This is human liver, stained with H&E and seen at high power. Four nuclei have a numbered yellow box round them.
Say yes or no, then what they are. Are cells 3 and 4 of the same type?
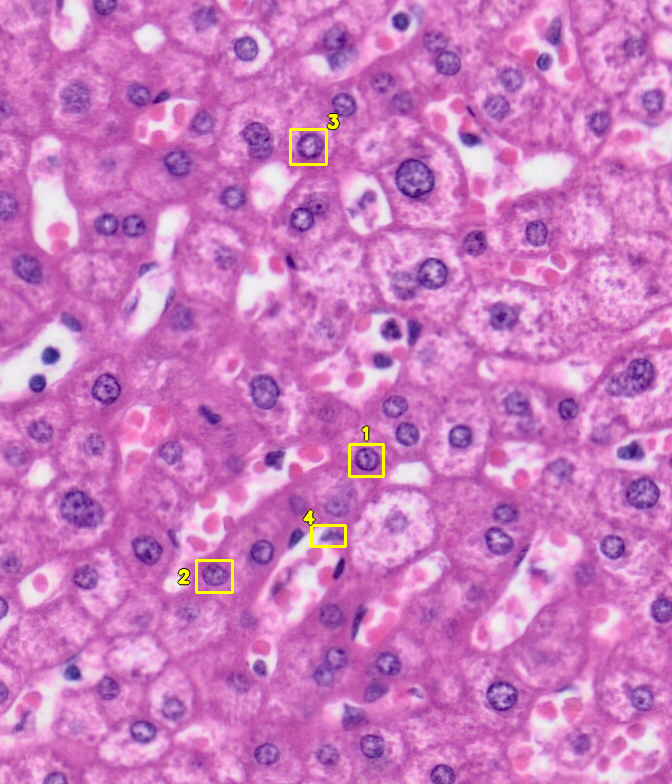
No, as to type, cell 3 is a hepatocyte, and cell 4 is an endothelial cell.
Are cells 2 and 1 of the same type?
Yes, cell 2 is counted among the hepatocytes, as is cell 1.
